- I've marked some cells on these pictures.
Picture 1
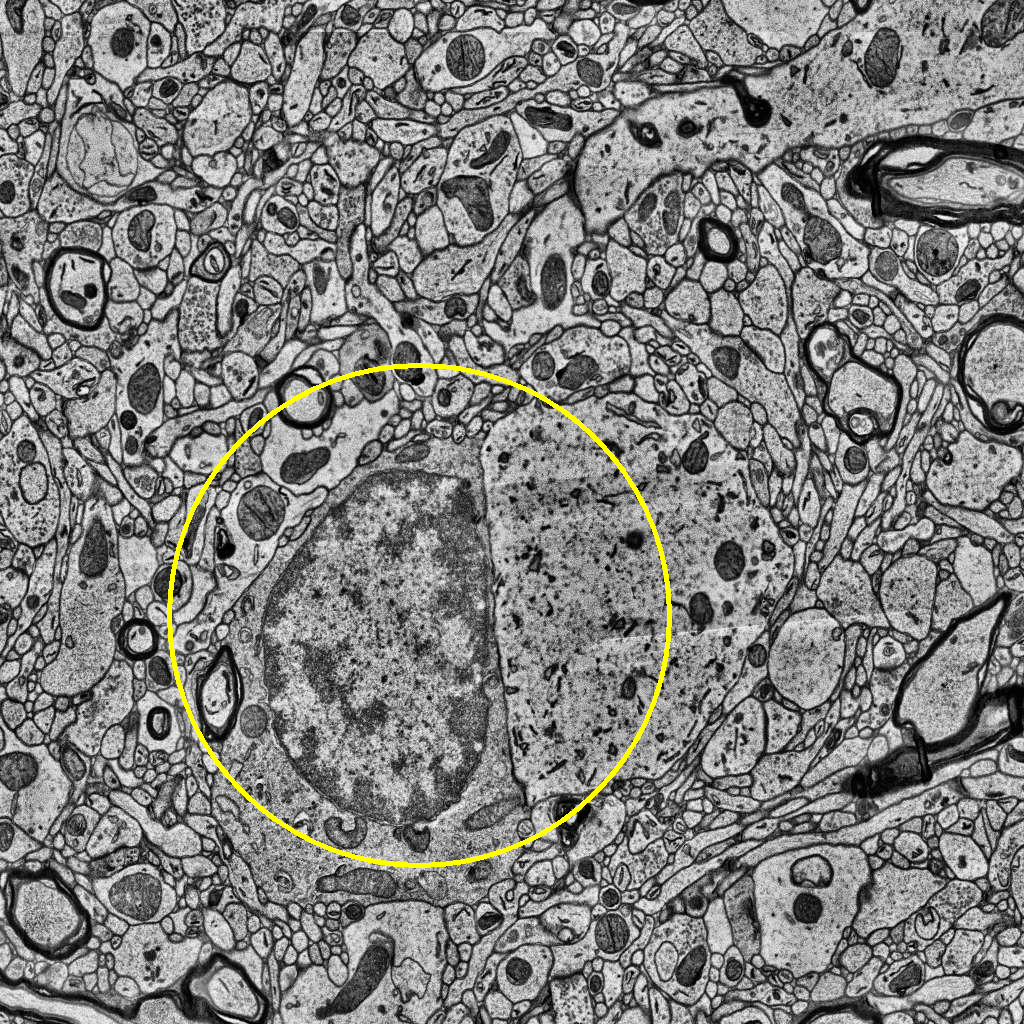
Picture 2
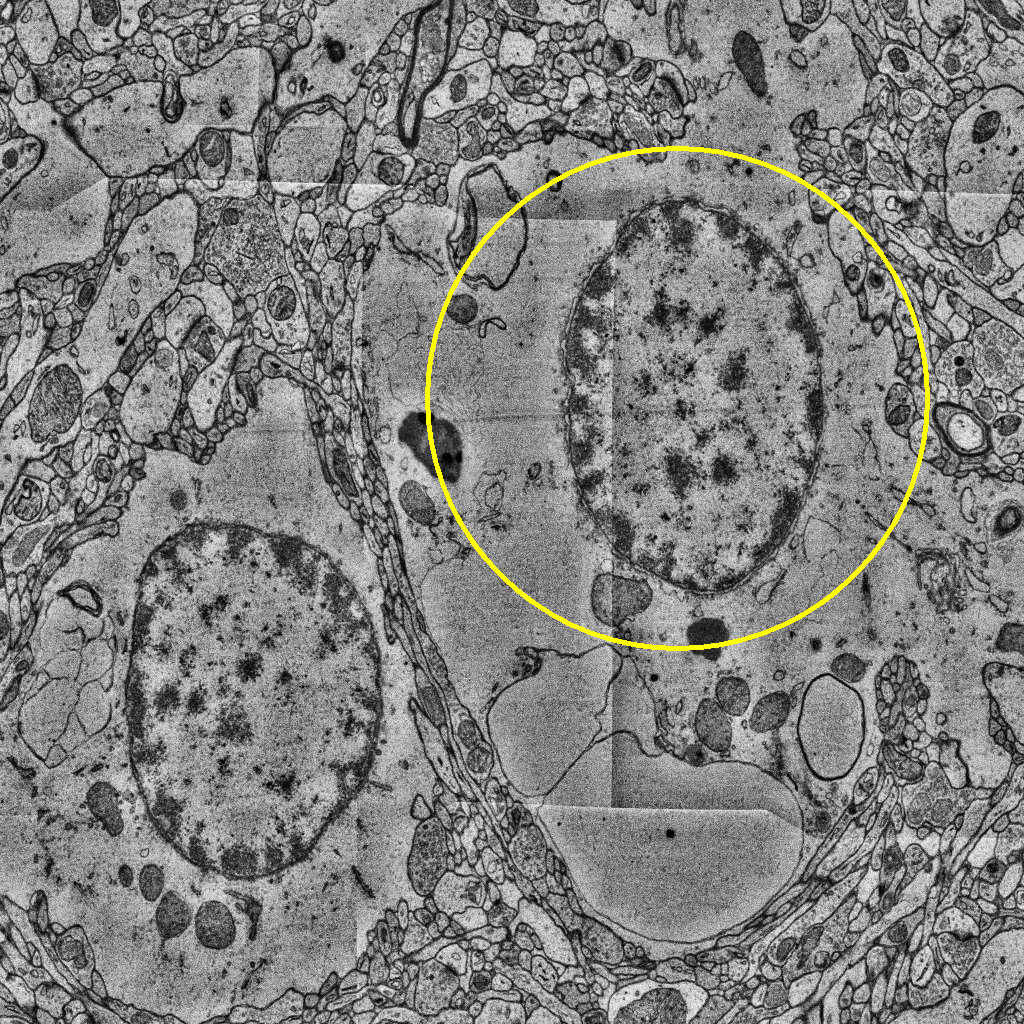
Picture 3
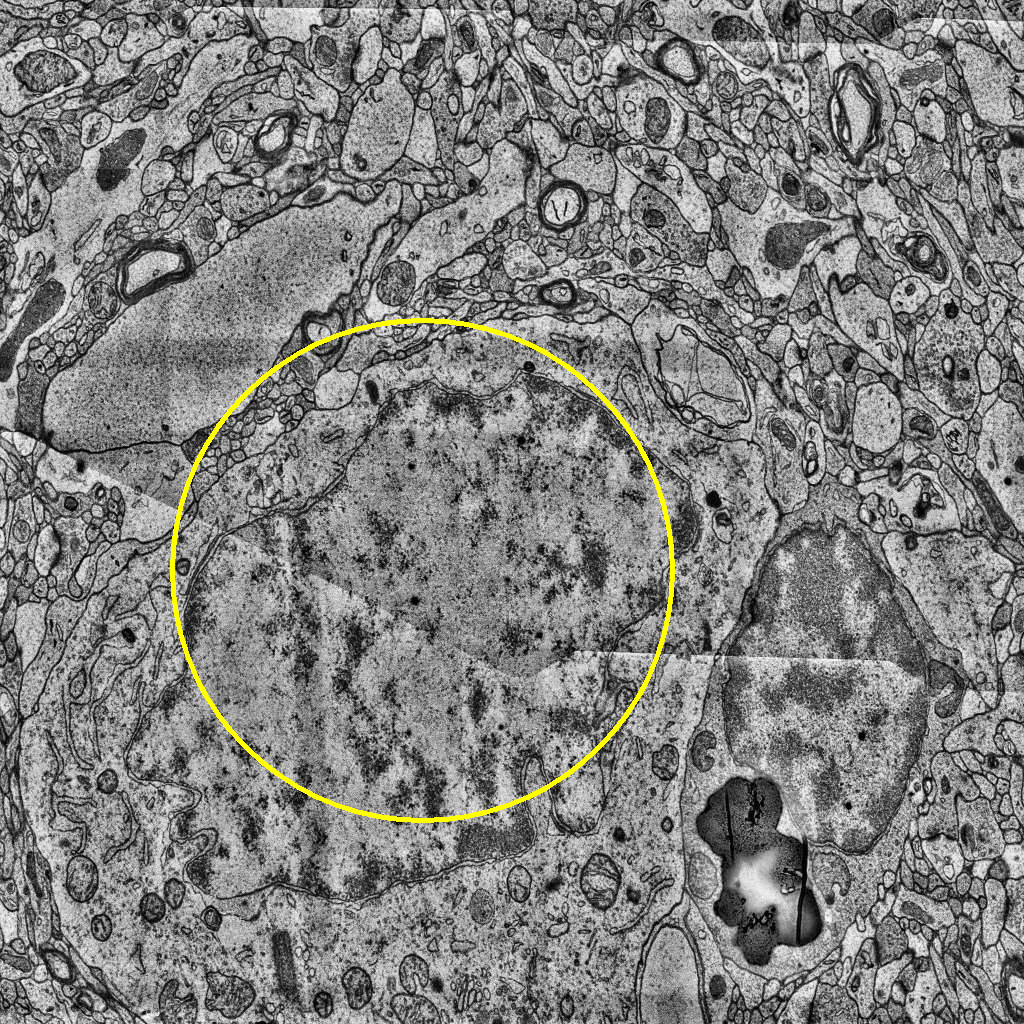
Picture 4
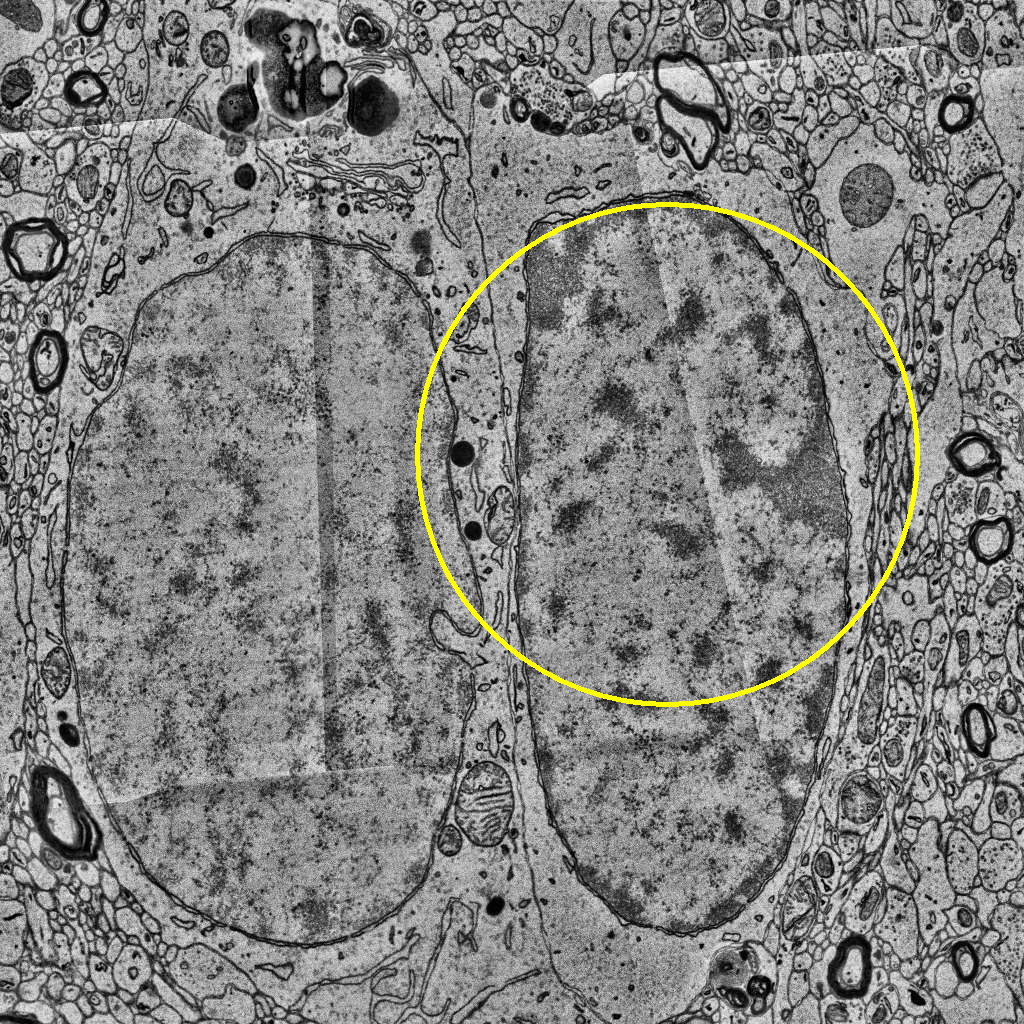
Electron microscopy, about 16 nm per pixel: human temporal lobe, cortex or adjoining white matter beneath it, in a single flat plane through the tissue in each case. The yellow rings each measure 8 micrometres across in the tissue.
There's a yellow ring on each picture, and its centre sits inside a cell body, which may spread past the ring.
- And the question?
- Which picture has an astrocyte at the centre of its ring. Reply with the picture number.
2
